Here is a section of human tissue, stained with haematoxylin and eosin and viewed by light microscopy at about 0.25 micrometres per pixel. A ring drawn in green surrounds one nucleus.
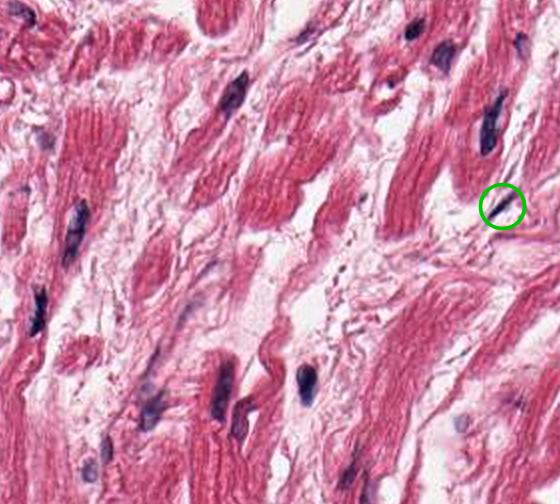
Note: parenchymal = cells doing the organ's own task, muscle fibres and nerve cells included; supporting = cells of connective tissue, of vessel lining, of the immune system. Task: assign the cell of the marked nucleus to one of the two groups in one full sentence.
The marked nucleus is held by a supporting cell.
